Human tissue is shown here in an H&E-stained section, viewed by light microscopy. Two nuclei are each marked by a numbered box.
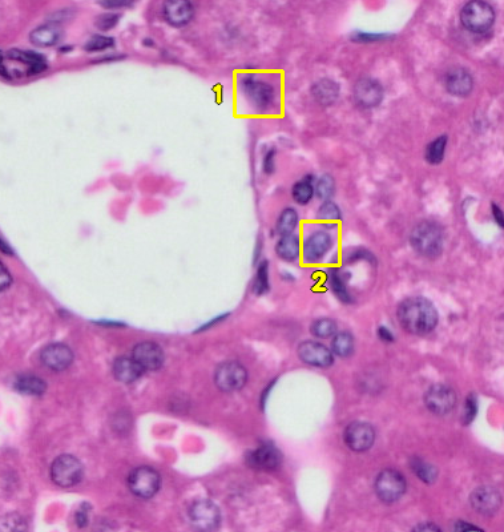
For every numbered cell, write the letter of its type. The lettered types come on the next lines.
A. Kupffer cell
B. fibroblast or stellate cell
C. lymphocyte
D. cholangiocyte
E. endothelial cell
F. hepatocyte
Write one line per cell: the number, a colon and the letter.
1: B
2: D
